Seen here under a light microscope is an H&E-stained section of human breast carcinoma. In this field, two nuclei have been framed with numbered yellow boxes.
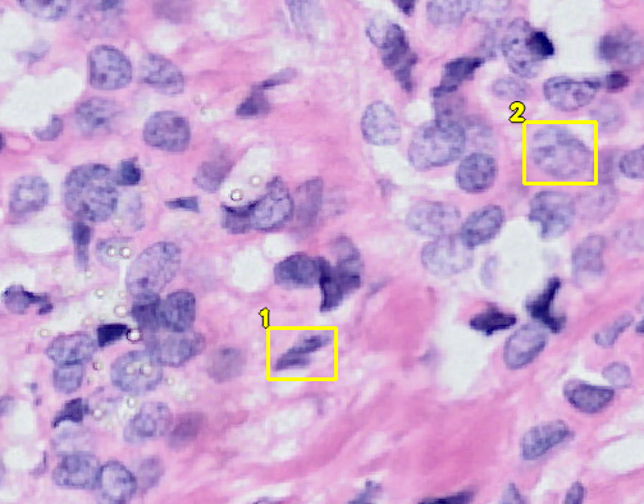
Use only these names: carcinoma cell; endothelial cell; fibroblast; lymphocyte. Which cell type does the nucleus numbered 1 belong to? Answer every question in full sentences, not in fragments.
Cell 1, among those numbered, is a fibroblast.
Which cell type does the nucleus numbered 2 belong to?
The marked cell bearing number 2 is a carcinoma cell.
